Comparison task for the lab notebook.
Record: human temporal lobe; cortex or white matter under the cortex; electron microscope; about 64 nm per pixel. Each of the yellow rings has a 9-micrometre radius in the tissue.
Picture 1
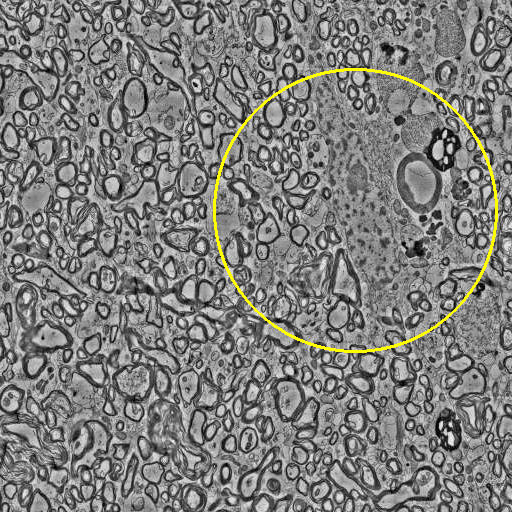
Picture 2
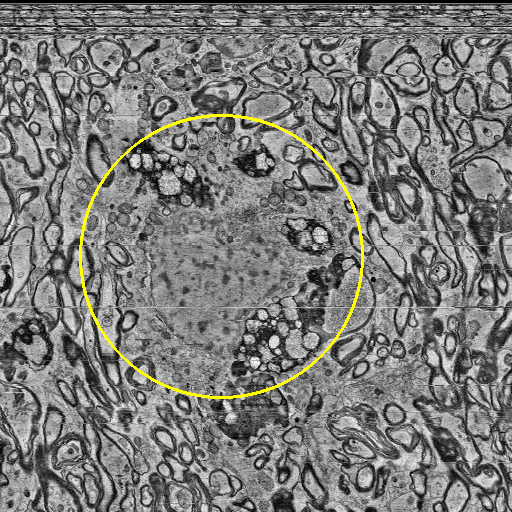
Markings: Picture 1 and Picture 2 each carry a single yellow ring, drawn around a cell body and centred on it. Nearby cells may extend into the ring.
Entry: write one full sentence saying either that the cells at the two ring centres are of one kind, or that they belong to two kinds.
The cells sitting at the ring centres in Picture 1 and Picture 2 are of one kind.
